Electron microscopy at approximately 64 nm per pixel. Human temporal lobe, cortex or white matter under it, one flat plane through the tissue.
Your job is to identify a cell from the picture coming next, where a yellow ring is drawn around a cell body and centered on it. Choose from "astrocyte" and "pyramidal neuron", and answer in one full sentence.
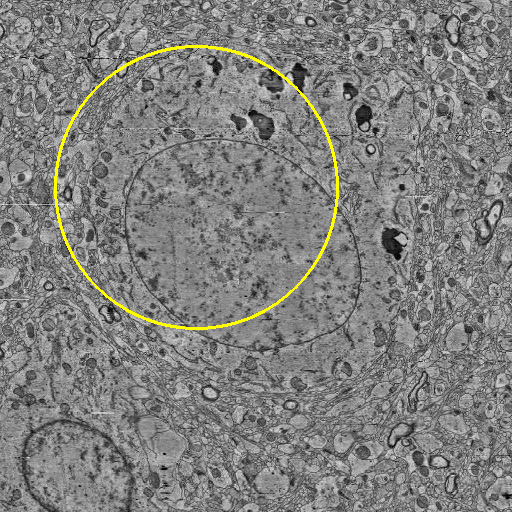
Centered in the yellow ring of the picture is the body of a pyramidal neuron.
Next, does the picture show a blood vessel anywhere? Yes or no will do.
No, there is no blood vessel.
